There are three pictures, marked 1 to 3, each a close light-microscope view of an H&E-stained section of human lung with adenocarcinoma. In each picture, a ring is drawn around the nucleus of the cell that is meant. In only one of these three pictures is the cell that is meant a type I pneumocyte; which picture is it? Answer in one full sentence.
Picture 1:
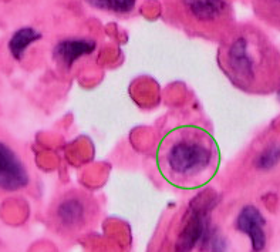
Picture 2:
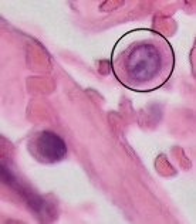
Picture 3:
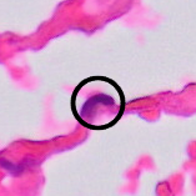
It is picture 3 that shows the type I pneumocyte.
